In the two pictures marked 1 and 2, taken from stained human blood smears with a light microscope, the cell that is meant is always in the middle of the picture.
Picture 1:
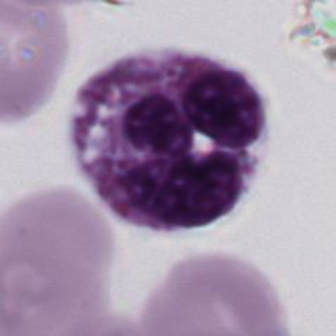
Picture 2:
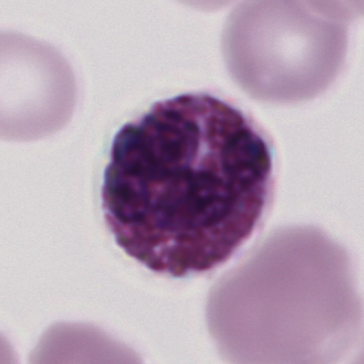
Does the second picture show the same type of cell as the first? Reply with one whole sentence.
Yes; the cells in both pictures are eosinophils.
